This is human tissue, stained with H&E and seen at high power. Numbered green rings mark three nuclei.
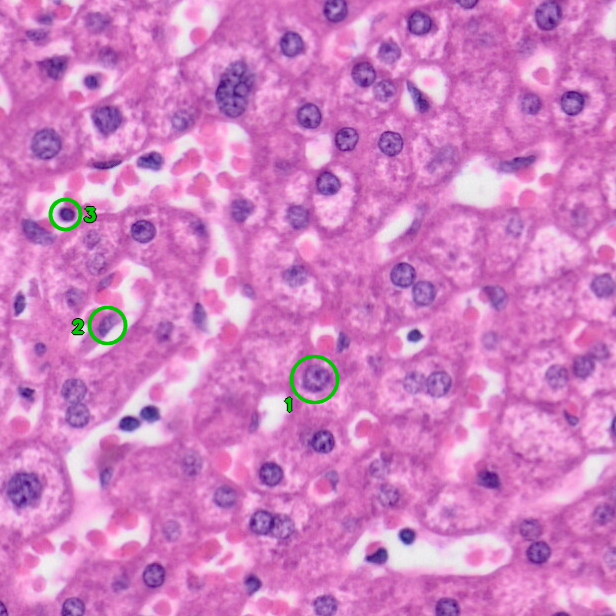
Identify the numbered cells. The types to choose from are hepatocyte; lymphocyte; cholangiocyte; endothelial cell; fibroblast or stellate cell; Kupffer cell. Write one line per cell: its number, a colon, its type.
1: hepatocyte
2: Kupffer cell
3: lymphocyte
